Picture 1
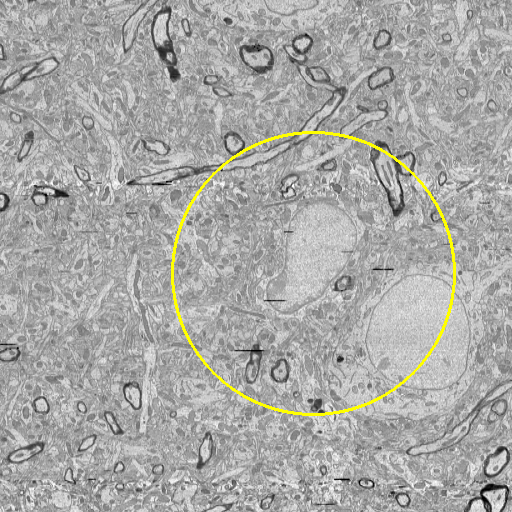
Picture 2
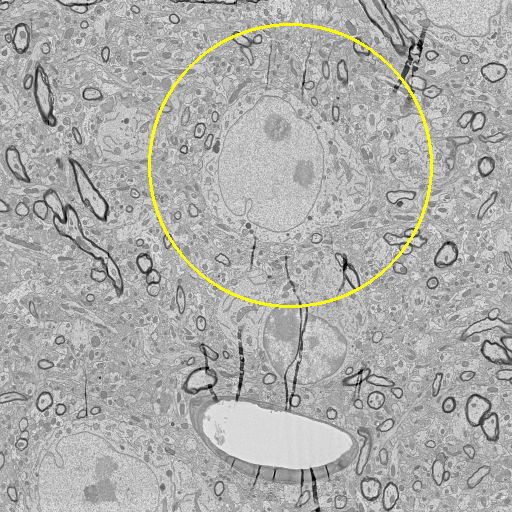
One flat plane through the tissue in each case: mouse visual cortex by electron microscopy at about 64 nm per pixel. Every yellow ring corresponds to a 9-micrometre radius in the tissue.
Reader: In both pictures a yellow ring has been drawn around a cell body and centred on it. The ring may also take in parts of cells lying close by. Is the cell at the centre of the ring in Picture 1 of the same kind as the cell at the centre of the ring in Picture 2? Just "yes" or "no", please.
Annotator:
no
